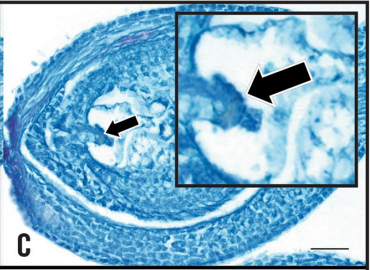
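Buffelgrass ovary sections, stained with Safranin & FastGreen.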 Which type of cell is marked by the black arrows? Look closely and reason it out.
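Egg cells. The arrow points to a densely stained cell at the edge of a cleared cavity inside the nucellus. The cavity lies toward the micropylar end of the ovule.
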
